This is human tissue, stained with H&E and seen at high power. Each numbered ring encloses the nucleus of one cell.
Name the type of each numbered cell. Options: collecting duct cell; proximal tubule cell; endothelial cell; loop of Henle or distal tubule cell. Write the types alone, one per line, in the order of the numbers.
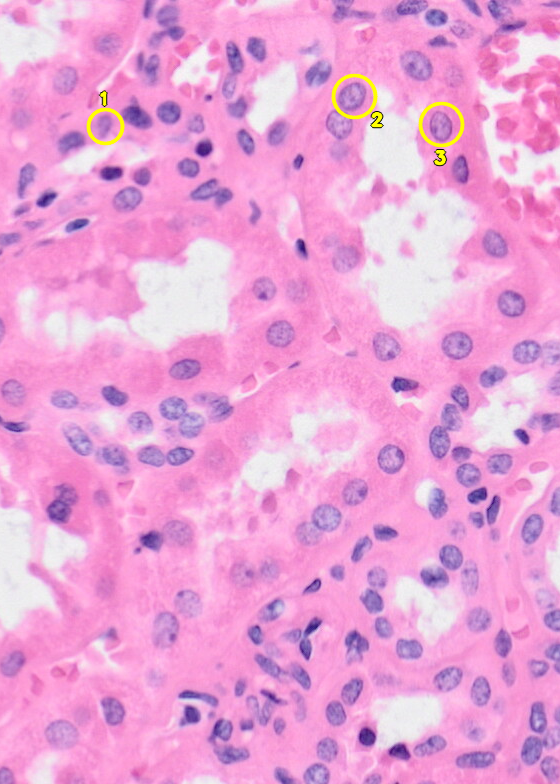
collecting duct cell
proximal tubule cell
proximal tubule cell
